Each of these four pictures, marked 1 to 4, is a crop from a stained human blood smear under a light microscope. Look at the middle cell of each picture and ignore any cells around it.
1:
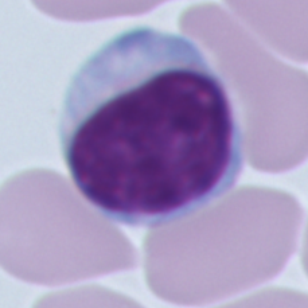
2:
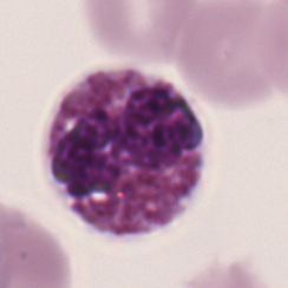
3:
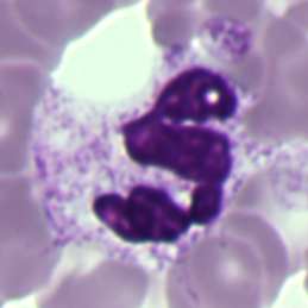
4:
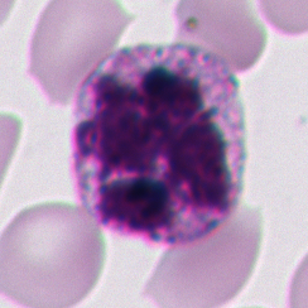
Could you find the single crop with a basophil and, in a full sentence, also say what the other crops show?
Crop 4 holds a basophil at its centre, while crop 1 is a typical lymphocyte, crop 2 is an eosinophil and crop 3 is a segmented neutrophil.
